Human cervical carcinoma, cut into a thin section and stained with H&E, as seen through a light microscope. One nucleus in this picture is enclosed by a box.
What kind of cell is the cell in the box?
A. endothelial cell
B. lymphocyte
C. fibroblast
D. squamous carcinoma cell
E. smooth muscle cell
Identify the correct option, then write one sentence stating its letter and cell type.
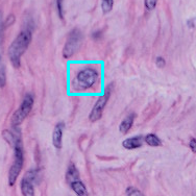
Hey, it is option E: the cell in the box is a smooth muscle cell.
